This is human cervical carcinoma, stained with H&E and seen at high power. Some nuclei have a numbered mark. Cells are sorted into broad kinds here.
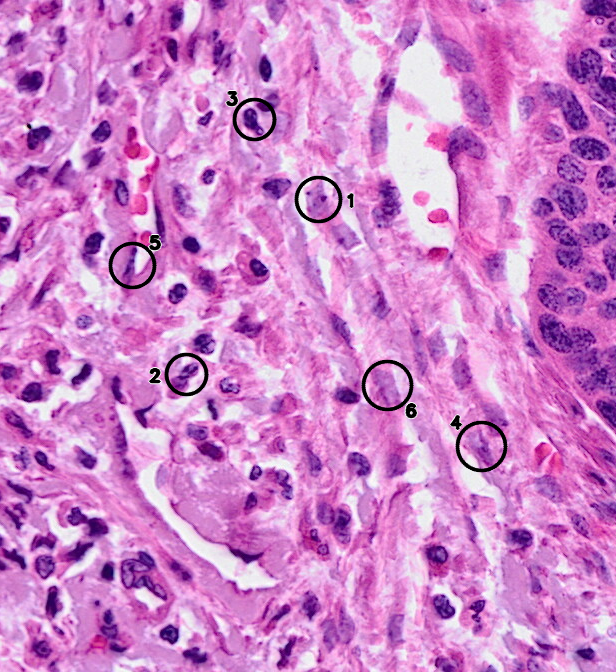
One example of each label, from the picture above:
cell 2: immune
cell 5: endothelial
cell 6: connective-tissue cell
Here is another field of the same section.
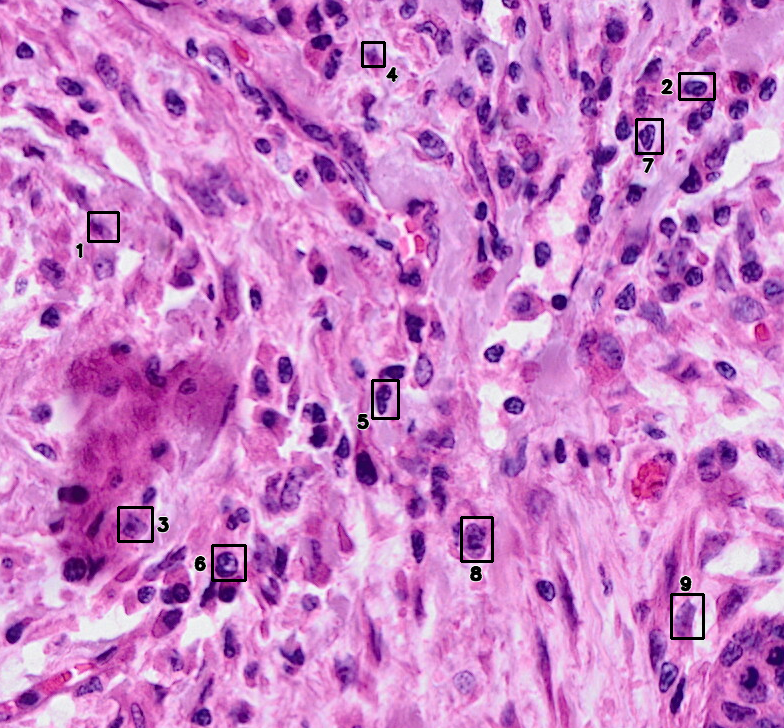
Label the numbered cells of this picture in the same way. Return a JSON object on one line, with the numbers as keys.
{"1": "connective-tissue cell", "2": "immune", "3": "immune", "4": "connective-tissue cell", "5": "immune", "6": "immune", "7": "immune", "8": "immune", "9": "connective-tissue cell"}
